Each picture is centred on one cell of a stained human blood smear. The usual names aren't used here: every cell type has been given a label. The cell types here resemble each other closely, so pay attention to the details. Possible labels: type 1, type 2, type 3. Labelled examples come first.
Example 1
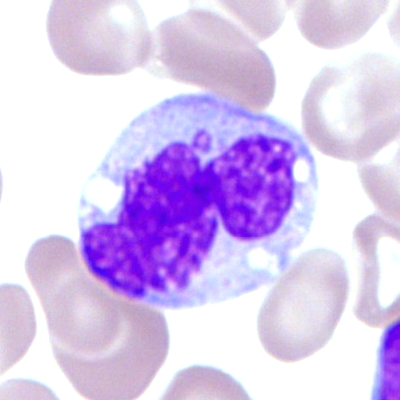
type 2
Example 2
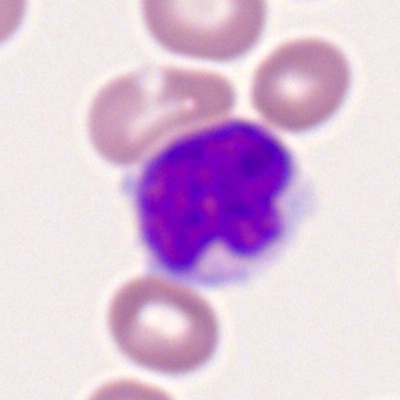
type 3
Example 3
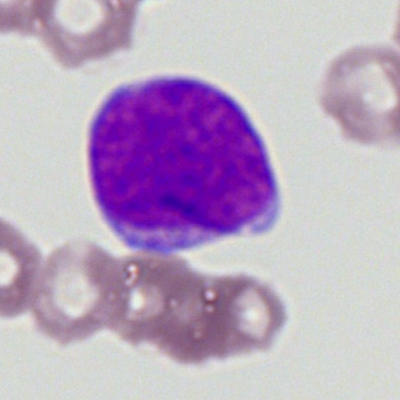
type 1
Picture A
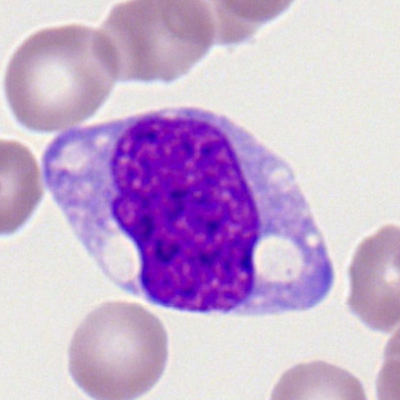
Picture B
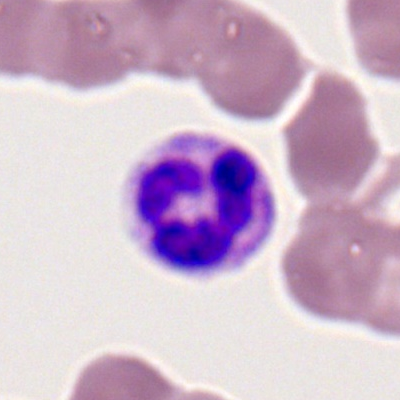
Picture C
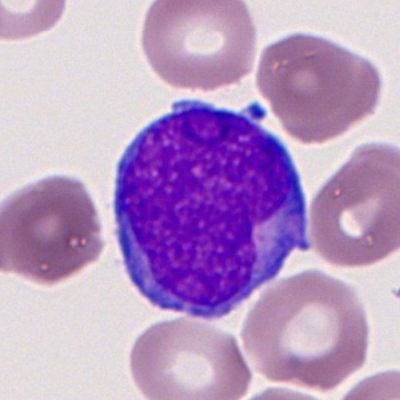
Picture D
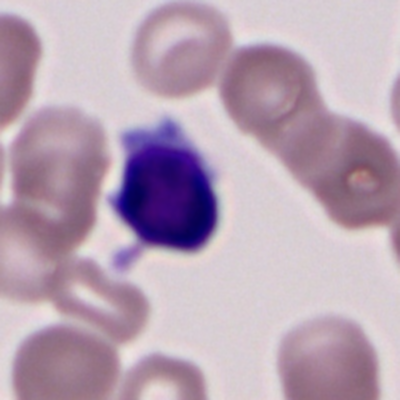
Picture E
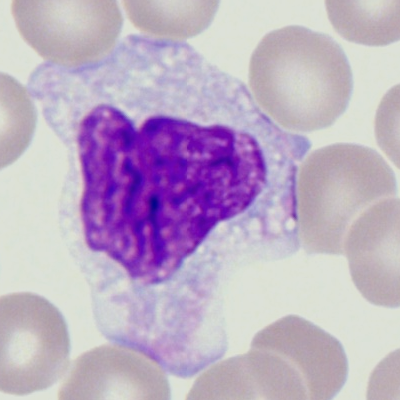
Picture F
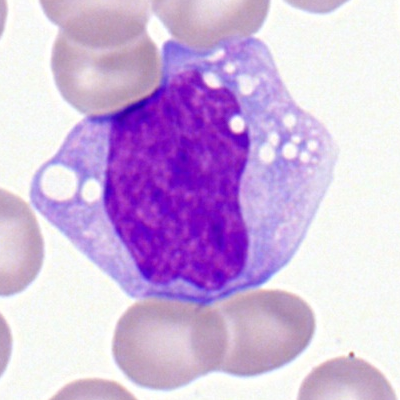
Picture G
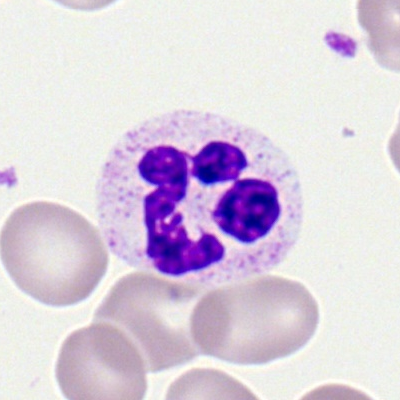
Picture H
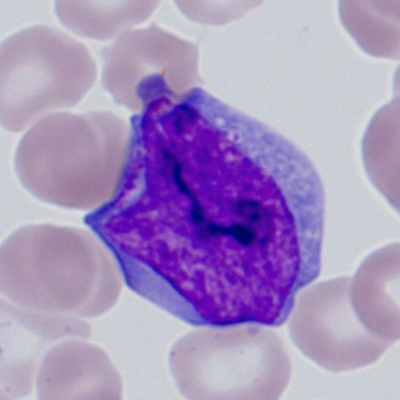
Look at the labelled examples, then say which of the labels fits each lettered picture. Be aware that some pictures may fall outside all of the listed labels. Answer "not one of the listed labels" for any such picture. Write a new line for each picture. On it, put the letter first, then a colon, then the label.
A: type 2
B: not one of the listed labels
C: type 1
D: type 3
E: type 2
F: type 2
G: not one of the listed labels
H: type 1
